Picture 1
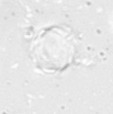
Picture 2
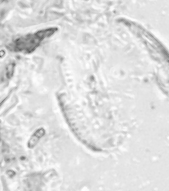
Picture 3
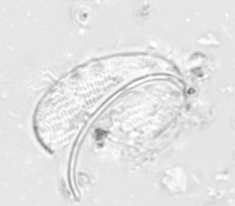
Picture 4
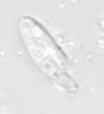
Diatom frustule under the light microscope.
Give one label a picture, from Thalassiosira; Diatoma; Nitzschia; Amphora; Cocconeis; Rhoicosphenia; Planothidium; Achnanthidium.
1: Thalassiosira
2: Amphora
3: Cocconeis
4: Achnanthidium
